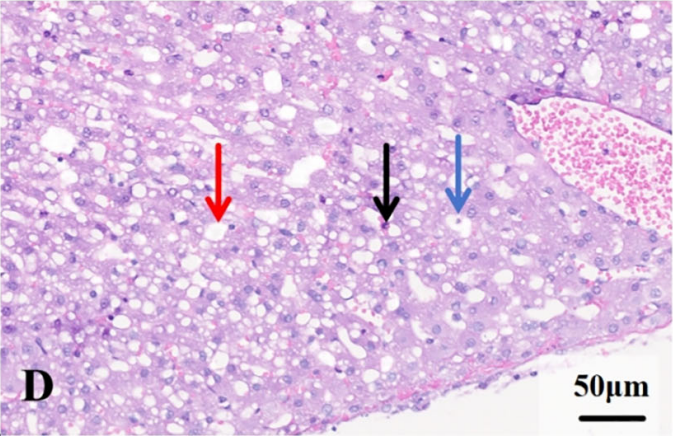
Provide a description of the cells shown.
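This is liver tissue in which the hepatocytes are swollen and no longer lie in neat rows. Many of the cells carry clear, round vacuoles of varying size in their cytoplasm, which are lipid droplets. Some hepatocytes look enlarged with pale, clear cytoplasm around the nucleus, a change known as ballooning. Small dark nuclei of inflammatory cells are scattered among the hepatocytes. At the right edge lies a vessel packed with red blood cells.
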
